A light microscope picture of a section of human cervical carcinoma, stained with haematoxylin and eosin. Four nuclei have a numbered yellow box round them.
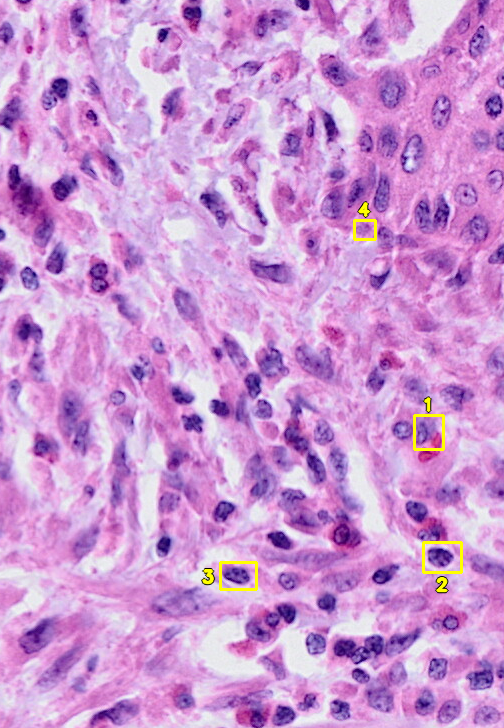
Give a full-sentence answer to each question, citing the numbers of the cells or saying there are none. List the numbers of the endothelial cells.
In this set of numbered cells, only cell 1 is an endothelial cell.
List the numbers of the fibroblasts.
Response: cell 4 is a fibroblast, and no other numbered cell is.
